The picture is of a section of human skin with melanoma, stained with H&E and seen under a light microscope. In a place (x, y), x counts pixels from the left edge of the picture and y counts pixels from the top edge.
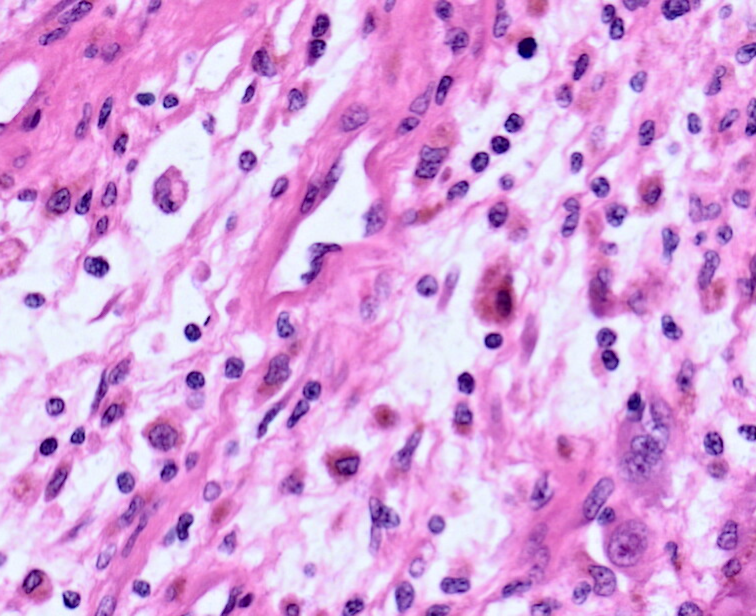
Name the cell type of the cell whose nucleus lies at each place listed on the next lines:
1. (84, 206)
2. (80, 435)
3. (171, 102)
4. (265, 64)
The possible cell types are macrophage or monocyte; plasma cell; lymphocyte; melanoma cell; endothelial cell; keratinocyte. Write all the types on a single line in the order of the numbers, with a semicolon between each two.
lymphocyte; lymphocyte; lymphocyte; macrophage or monocyte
